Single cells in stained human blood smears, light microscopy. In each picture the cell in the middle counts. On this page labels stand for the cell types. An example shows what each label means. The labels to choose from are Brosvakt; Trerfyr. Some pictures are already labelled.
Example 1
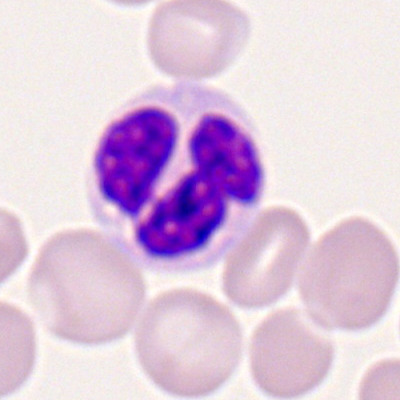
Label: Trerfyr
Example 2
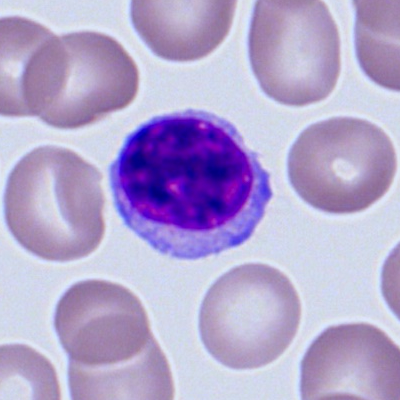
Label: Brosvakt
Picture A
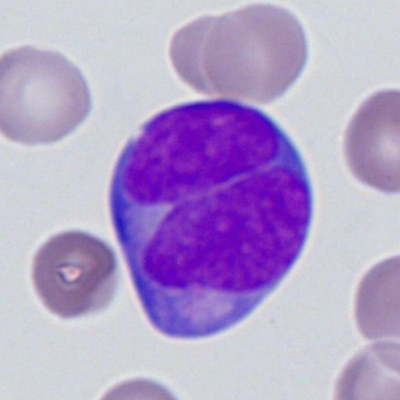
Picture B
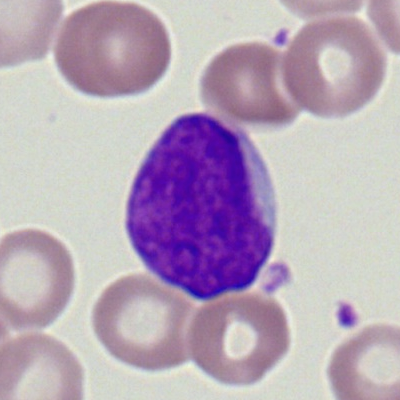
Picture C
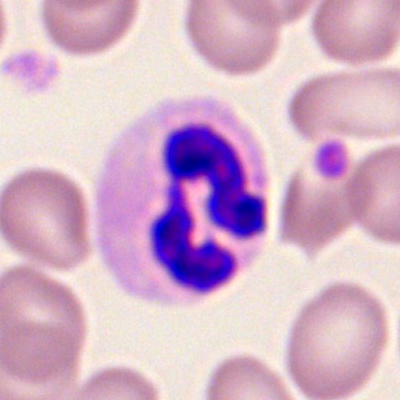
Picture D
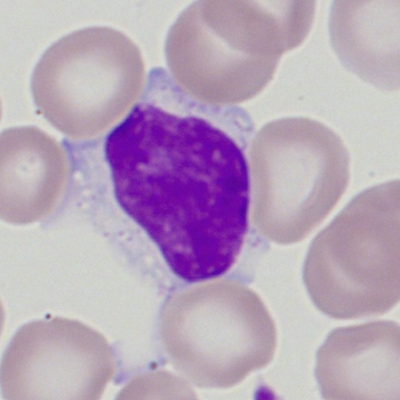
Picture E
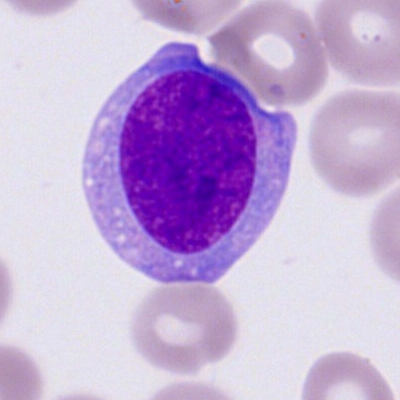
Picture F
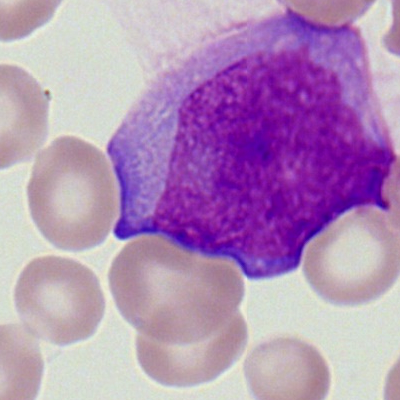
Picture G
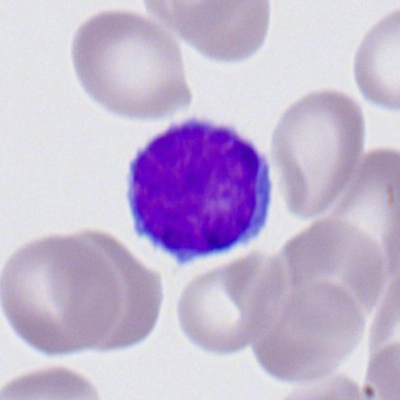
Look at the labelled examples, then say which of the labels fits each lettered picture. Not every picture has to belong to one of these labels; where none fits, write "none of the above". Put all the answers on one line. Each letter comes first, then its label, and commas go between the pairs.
A none of the above, B none of the above, C Trerfyr, D Brosvakt, E none of the above, F none of the above, G Brosvakt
